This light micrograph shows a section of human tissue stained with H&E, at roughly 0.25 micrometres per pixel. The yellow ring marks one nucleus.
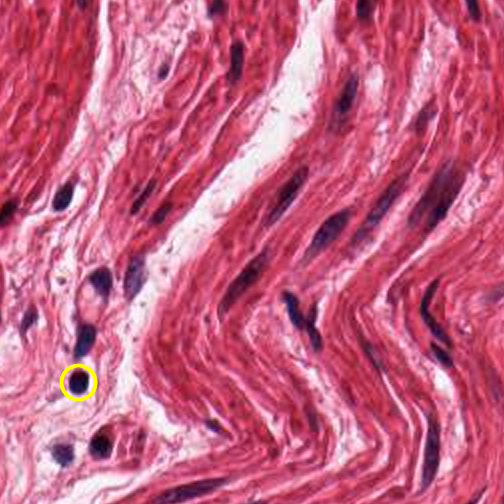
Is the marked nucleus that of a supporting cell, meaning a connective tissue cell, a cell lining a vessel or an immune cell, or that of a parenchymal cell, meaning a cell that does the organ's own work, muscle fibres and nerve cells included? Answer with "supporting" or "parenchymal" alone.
supporting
